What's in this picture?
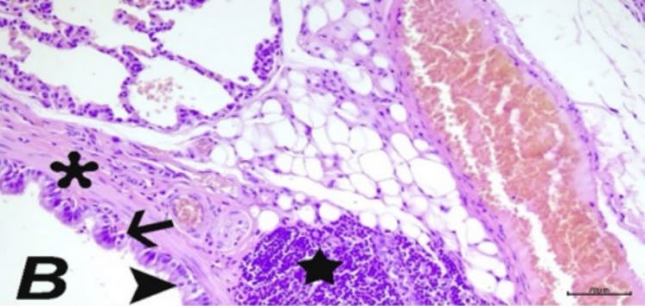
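This is lung showing a bronchial wall, alveoli and a large blood vessel. The bronchial lining of columnar epithelial cells runs along the left, with an uneven surface. Under it the wall is thickened by a band of pink spindle-celled tissue. Next to the wall is a compact focus of densely packed small dark nuclei, an inflammatory cell infiltrate. To the right a wide vessel is filled with red blood cells, and pale, empty-looking spaces lie between the airway and the vessel.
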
